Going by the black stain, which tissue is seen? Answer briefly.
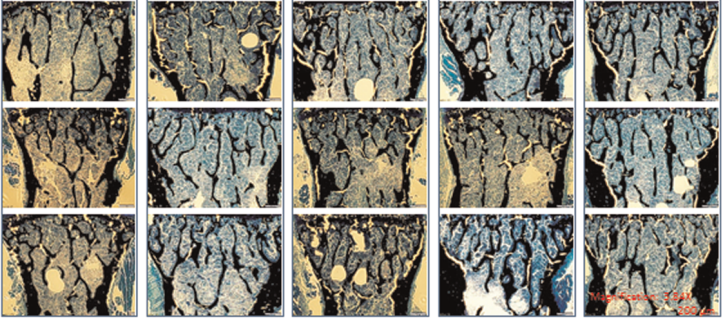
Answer: Trabecular bone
